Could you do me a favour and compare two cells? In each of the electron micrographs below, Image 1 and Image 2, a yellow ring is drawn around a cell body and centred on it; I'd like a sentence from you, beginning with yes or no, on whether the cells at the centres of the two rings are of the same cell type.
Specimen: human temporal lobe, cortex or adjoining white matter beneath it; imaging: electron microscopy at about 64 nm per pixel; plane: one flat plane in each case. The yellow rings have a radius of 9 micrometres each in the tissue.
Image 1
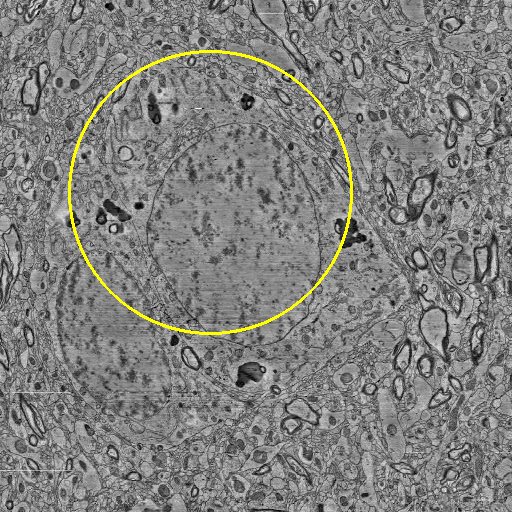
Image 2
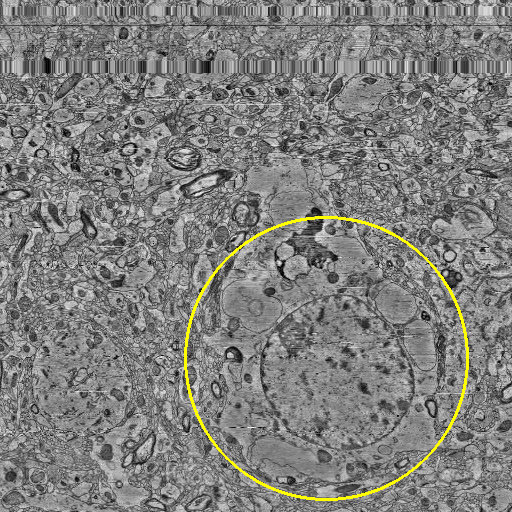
No, the two cells are of two cell types.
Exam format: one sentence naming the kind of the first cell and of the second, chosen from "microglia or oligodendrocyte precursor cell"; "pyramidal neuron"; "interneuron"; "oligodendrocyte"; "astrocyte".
The first picture's cell is a pyramidal neuron, and the second picture's cell is an astrocyte.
